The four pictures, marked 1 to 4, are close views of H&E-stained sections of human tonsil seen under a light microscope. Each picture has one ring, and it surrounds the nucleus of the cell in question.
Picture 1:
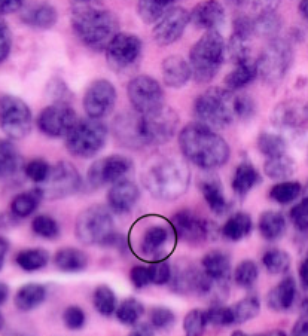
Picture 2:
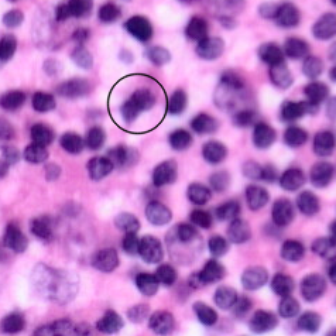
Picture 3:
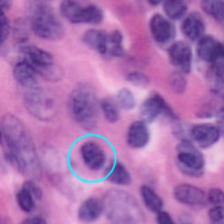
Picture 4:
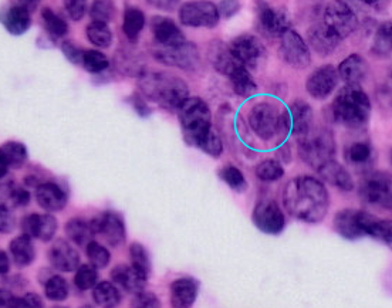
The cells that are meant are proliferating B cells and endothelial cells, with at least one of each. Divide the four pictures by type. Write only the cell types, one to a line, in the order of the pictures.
proliferating B cell
proliferating B cell
endothelial cell
proliferating B cell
